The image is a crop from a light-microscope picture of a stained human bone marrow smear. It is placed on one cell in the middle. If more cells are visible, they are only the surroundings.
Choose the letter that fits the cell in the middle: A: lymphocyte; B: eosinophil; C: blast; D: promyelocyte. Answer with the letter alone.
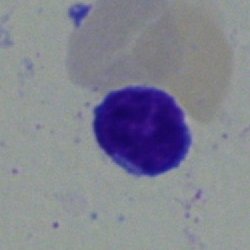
A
